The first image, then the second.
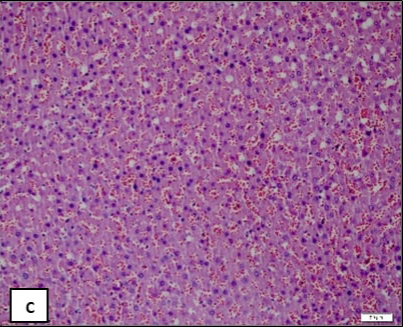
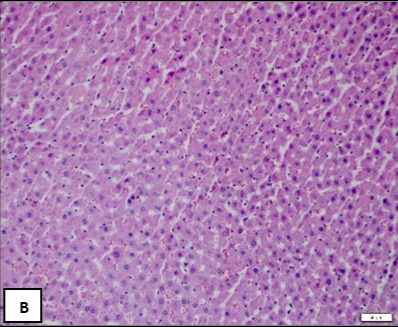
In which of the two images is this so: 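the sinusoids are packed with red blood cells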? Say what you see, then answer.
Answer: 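First image: bright red blood cells fill the sinusoids across the whole field. Second image: the sinusoids are mostly pale or empty, with only a few scattered red cells.
Hence: the first image.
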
